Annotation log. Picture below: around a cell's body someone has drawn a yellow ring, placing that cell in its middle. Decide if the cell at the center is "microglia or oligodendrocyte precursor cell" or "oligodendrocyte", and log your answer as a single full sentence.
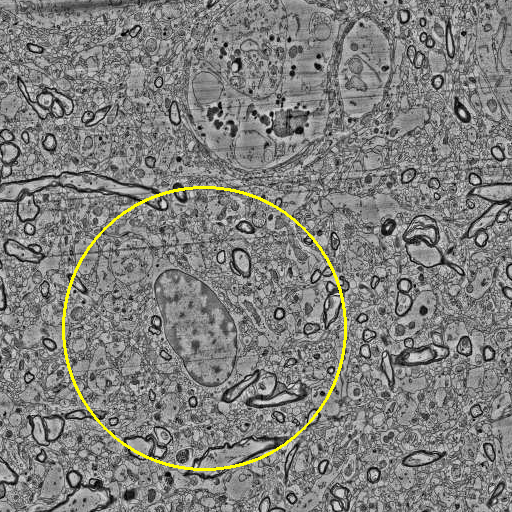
My entry records a microglial cell or oligodendrocyte precursor cell as the cell sitting at the center of the yellow ring.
